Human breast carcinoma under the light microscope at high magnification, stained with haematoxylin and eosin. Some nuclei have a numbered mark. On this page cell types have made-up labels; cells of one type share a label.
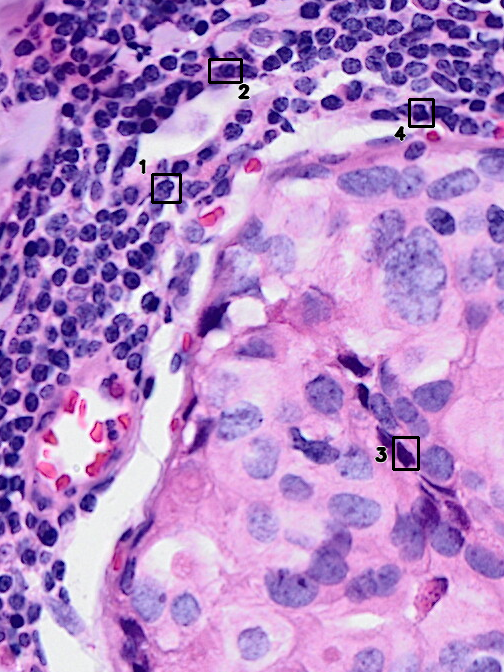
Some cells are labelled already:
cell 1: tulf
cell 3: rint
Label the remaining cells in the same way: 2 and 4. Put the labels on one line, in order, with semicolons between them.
tulf; tulf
